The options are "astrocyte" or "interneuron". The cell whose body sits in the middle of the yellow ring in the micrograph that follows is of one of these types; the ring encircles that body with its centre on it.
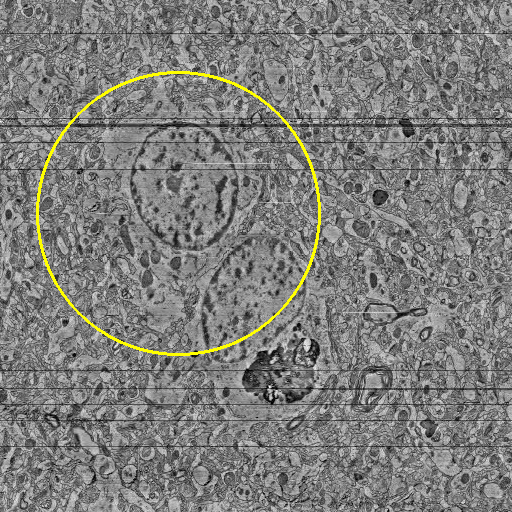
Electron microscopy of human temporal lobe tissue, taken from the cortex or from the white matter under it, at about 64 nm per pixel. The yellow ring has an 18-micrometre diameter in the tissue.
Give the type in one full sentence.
Going by the micrograph, the cell centred in the yellow ring is an astrocyte.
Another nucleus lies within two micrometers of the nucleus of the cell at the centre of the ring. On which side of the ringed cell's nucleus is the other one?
The other nucleus appears to the lower right of it.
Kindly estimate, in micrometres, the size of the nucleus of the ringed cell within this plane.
About 8 by 7 micrometers, in this plane.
